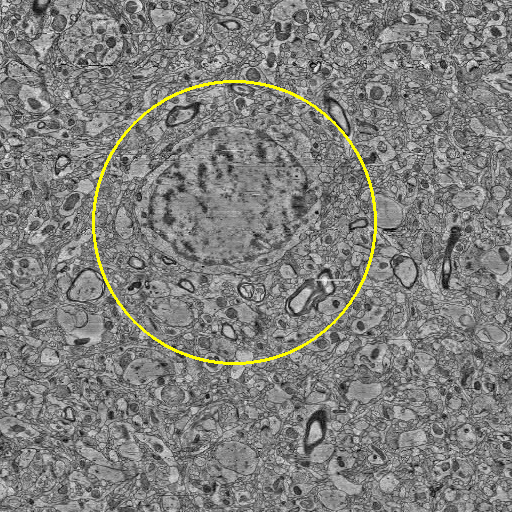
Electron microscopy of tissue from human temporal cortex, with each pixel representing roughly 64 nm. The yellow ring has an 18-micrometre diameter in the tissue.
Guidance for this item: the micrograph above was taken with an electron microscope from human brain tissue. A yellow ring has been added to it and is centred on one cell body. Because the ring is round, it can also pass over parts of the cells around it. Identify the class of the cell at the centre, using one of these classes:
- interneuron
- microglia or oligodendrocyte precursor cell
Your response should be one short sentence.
The ring surrounds the body of an interneuron.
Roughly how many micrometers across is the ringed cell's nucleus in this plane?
The ringed cell's nucleus measures approximately 11 by 9 micrometres in this plane.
